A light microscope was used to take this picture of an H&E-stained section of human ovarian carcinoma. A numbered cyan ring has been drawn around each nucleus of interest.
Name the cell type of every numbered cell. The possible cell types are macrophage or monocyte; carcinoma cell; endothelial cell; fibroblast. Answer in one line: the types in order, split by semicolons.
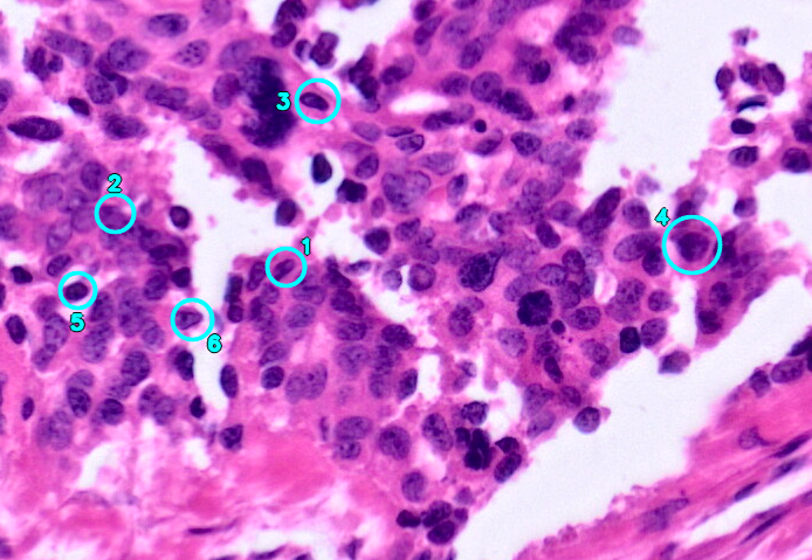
macrophage or monocyte; carcinoma cell; macrophage or monocyte; carcinoma cell; carcinoma cell; macrophage or monocyte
